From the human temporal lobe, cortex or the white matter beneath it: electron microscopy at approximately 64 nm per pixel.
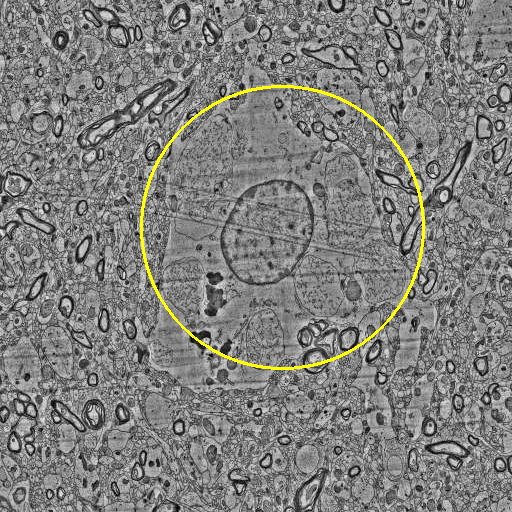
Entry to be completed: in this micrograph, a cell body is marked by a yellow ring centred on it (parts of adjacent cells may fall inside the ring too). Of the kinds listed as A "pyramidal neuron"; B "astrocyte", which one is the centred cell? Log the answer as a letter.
B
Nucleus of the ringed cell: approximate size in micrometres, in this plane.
The ringed cell's nucleus measures approximately 7 by 5 micrometres in this plane.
